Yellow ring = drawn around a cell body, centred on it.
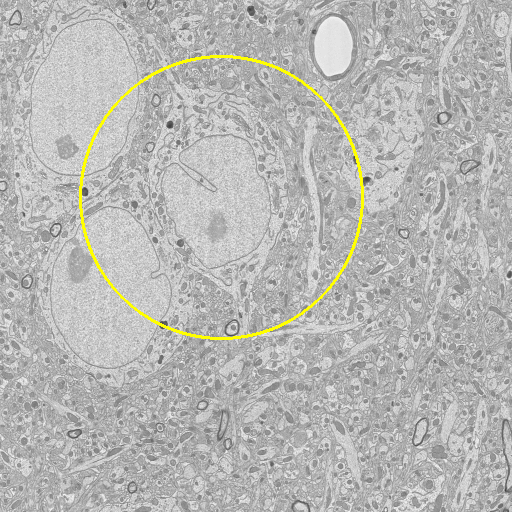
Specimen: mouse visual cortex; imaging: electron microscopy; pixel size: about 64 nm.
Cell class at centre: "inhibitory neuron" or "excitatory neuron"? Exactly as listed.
inhibitory neuron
